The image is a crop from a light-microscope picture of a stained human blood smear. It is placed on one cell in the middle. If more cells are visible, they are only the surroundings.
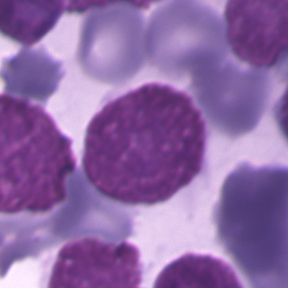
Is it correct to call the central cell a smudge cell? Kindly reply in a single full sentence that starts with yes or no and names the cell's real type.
Yes, the middle cell is properly termed a smudge cell.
